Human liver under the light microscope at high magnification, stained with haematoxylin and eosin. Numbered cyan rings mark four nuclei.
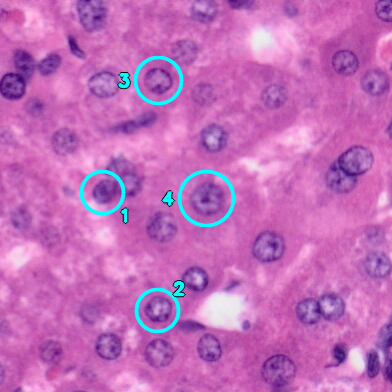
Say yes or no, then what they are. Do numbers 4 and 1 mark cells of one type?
No, whereas cell 1 is a fibroblast or stellate cell, cell 4 is a hepatocyte.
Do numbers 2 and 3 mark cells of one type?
Yes, the two cells, 2 and 3, are both hepatocytes.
